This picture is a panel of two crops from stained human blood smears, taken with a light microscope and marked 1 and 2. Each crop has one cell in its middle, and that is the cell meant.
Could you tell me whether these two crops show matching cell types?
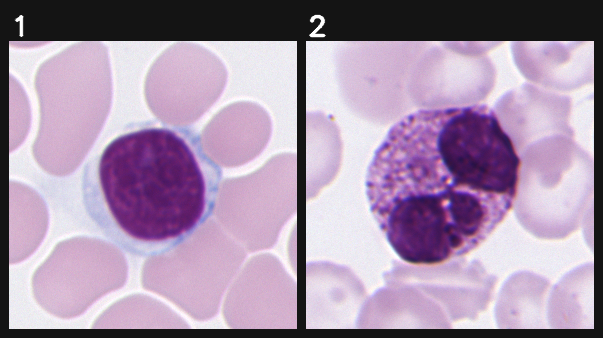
no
